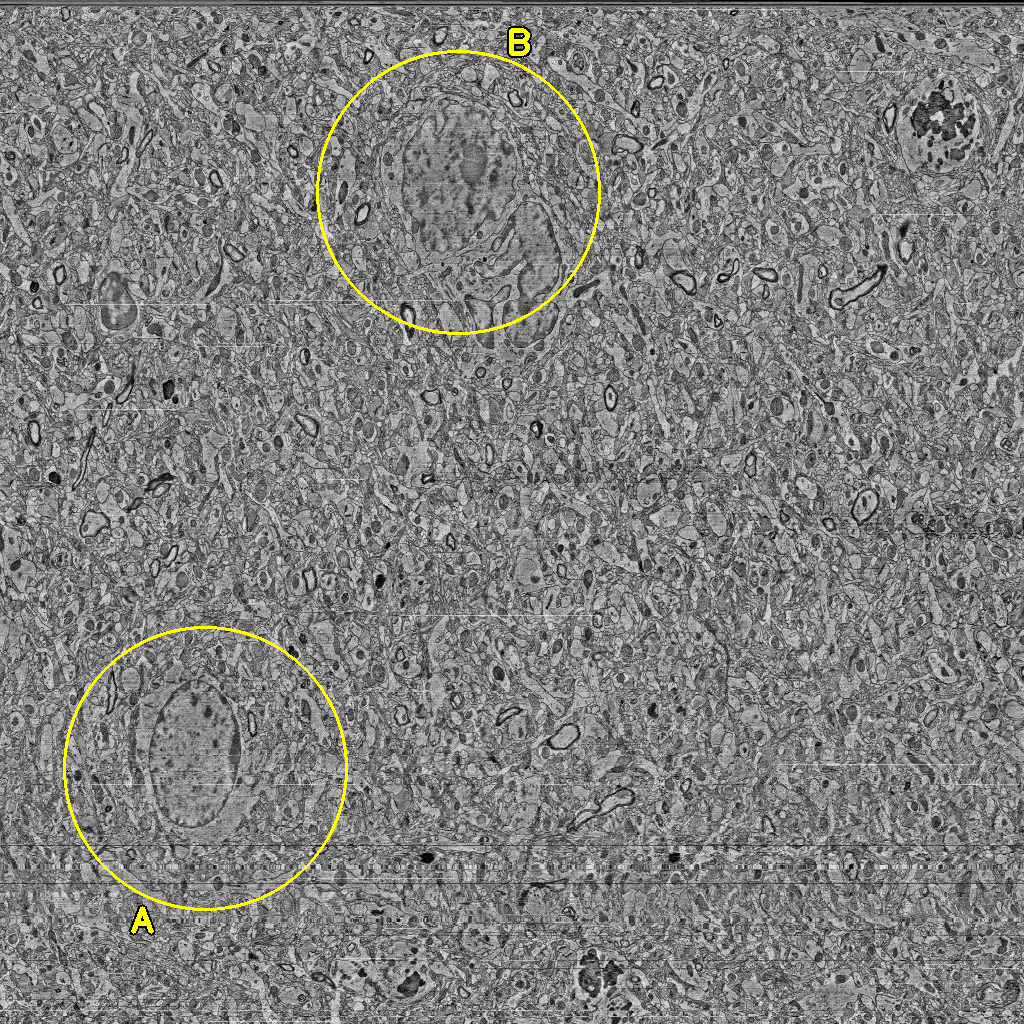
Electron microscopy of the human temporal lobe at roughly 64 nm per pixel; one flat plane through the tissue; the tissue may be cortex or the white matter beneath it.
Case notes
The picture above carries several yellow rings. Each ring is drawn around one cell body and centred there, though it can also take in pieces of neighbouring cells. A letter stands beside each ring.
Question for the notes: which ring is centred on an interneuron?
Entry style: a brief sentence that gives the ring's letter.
Ring B is centred on it.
